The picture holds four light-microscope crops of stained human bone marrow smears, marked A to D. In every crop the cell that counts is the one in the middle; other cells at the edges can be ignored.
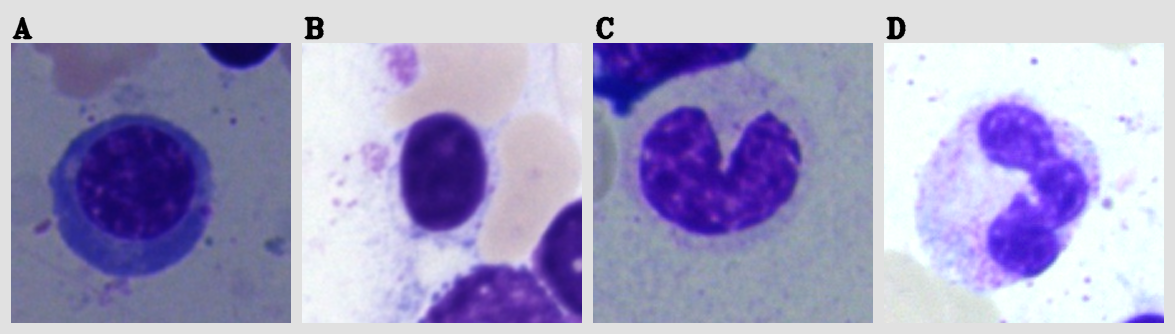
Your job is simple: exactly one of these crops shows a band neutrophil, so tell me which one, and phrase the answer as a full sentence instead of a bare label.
Crop C is the crop in which a band neutrophil is shown.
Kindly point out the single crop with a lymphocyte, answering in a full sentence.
Crop B is the one depicting a lymphocyte.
